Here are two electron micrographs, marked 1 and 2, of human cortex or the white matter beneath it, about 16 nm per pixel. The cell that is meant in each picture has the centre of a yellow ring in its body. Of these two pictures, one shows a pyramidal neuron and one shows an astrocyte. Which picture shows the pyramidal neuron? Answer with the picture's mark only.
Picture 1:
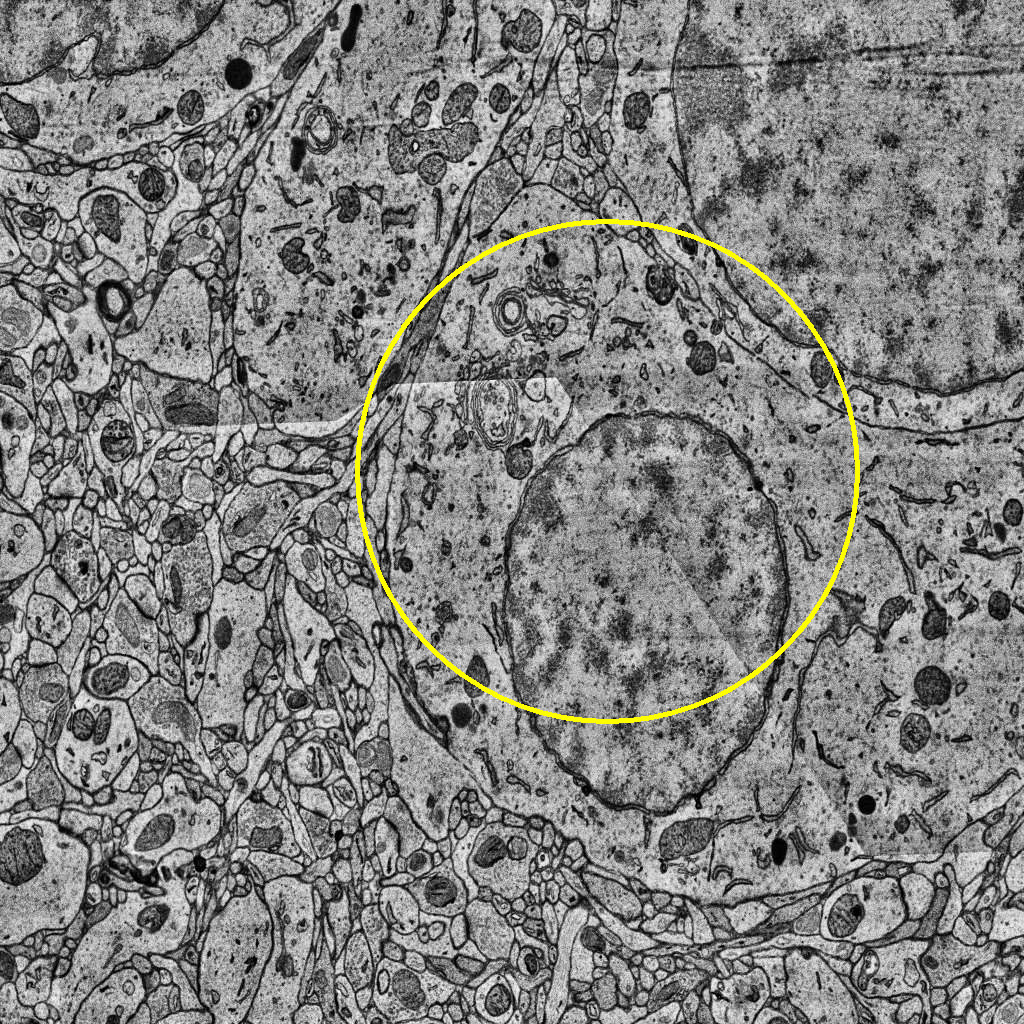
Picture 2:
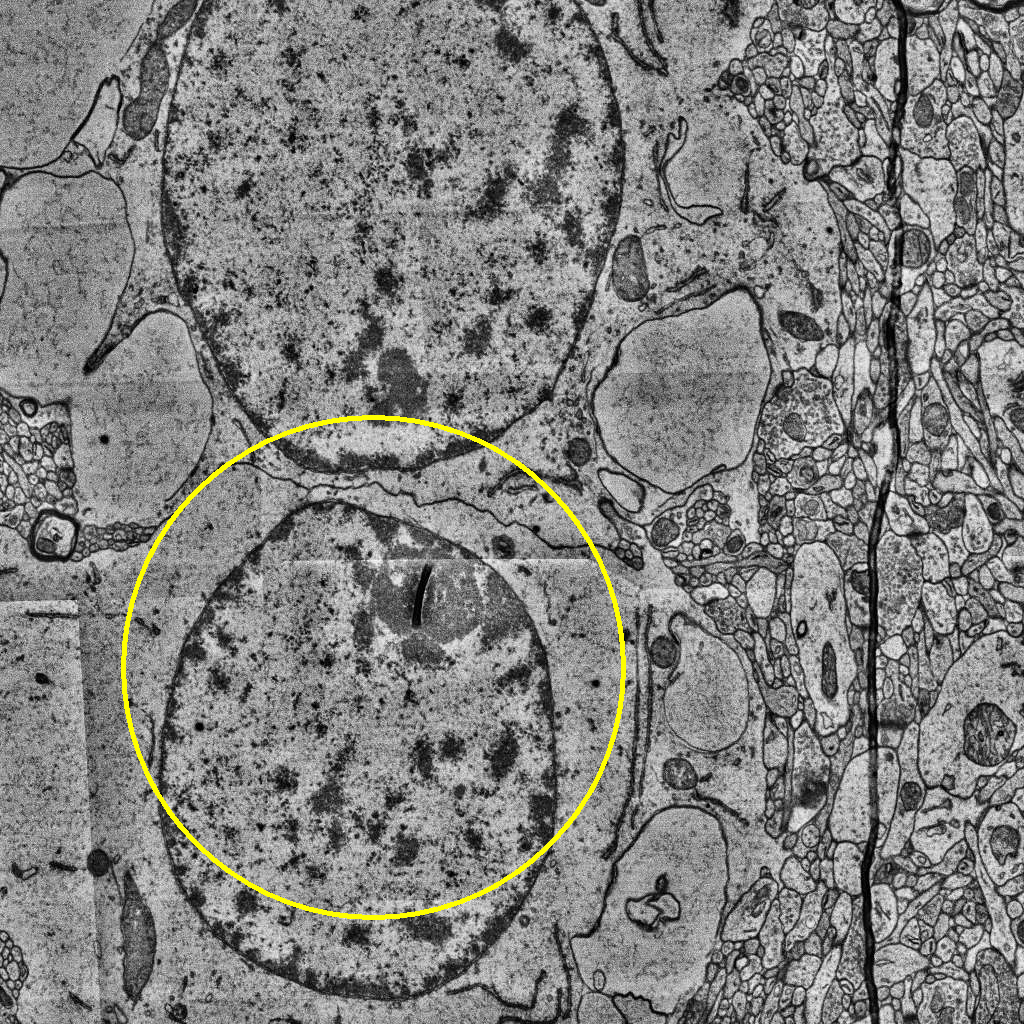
1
